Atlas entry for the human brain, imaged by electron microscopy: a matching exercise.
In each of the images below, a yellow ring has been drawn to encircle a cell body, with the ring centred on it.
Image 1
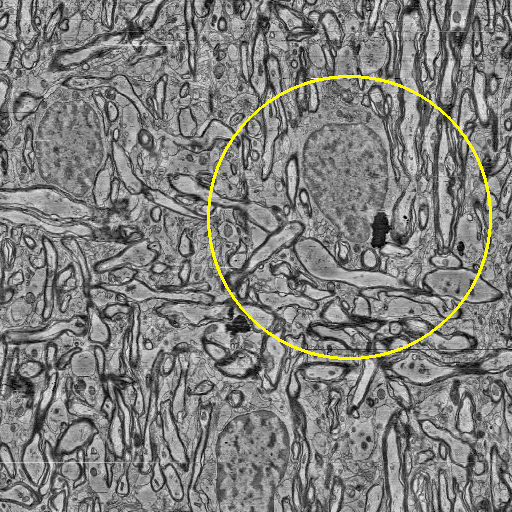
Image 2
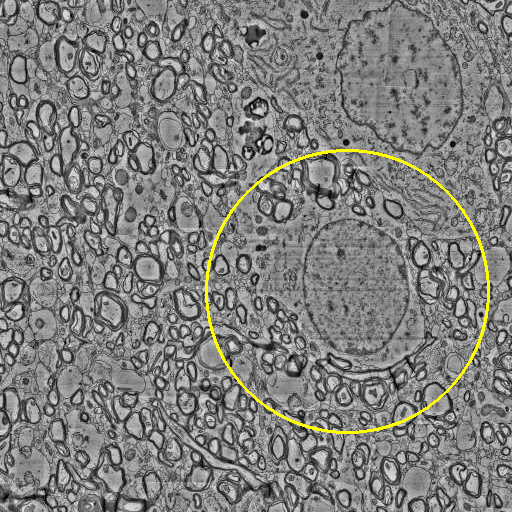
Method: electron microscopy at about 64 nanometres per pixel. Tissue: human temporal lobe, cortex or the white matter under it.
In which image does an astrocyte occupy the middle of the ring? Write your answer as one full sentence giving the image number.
In image 2, the ring is centred on the cell in question.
